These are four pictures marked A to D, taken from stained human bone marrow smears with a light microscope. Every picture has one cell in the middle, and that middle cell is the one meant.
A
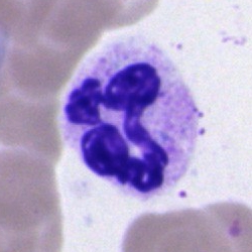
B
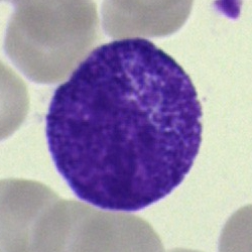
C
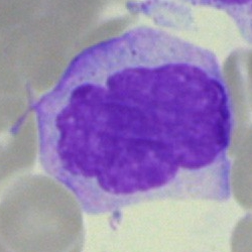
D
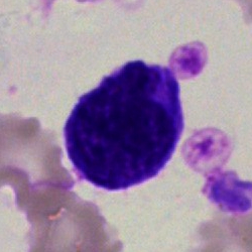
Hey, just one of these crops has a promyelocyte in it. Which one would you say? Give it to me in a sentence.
Crop B is the crop that shows a promyelocyte in its middle.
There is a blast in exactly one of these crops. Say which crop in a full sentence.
Crop D shows a blast, and no other crop does.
